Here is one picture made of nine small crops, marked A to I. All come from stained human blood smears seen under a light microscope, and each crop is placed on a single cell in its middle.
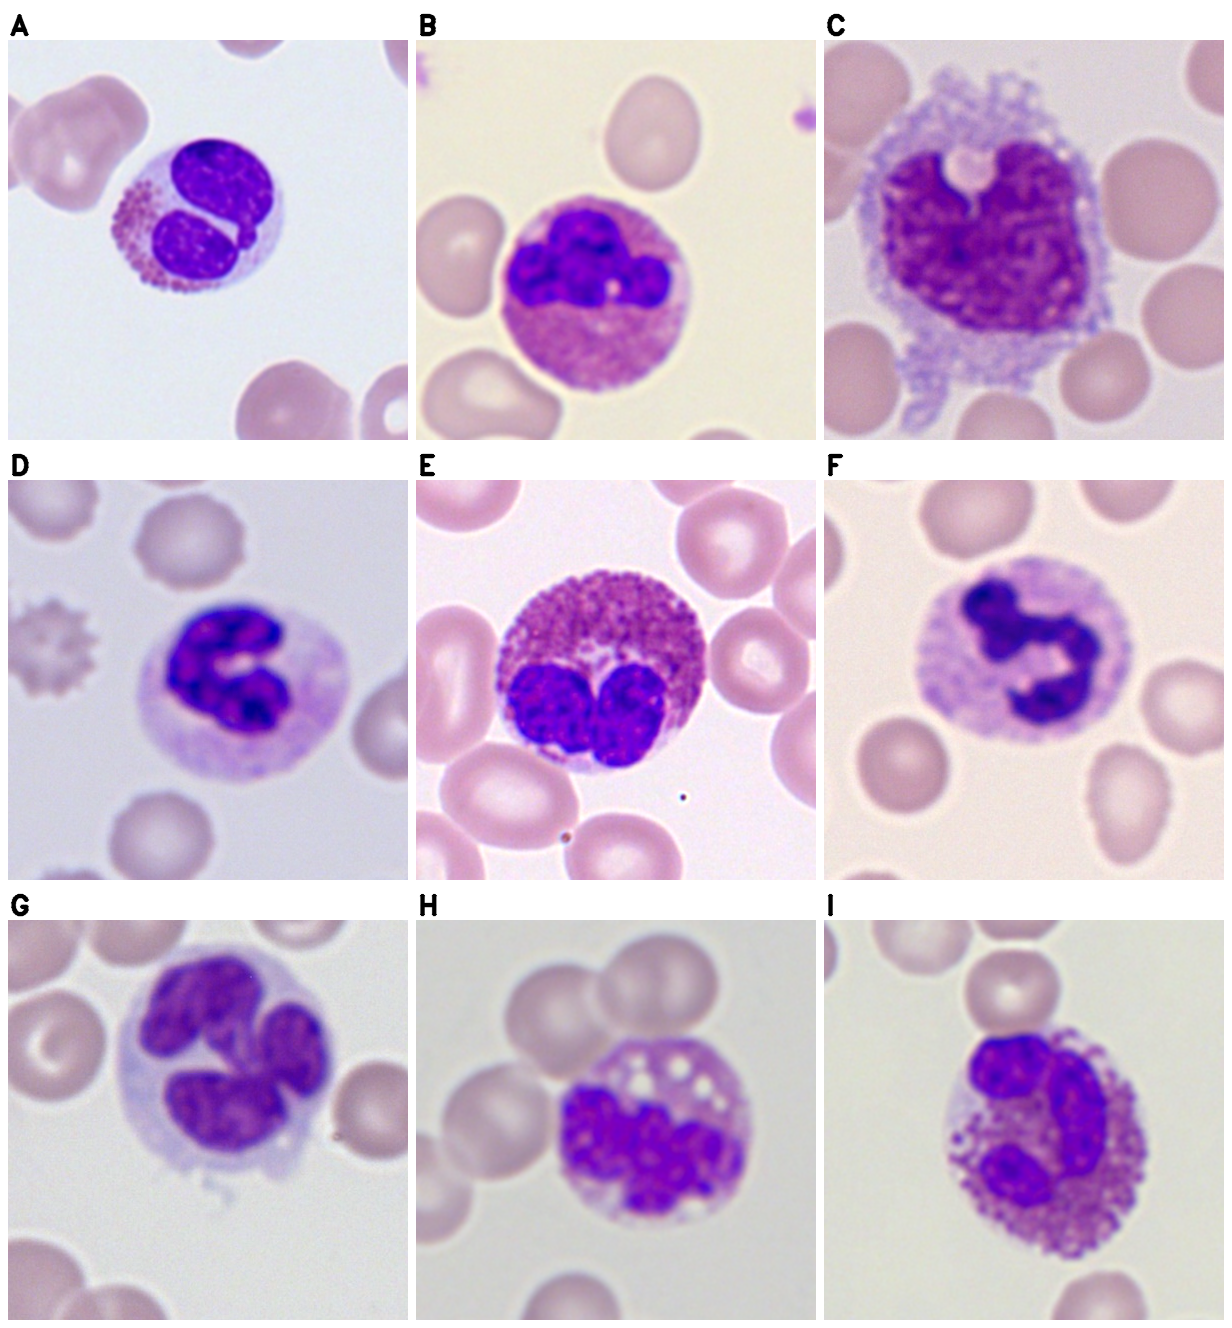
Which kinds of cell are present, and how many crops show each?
eosinophil: 5
monocyte: 2
segmented neutrophil: 2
